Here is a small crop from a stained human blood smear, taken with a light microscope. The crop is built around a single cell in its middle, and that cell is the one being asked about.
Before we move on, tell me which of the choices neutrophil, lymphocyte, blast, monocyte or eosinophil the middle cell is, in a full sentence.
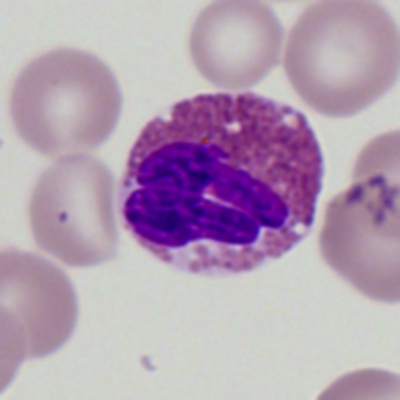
The middle cell in this particular crop is an eosinophil.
